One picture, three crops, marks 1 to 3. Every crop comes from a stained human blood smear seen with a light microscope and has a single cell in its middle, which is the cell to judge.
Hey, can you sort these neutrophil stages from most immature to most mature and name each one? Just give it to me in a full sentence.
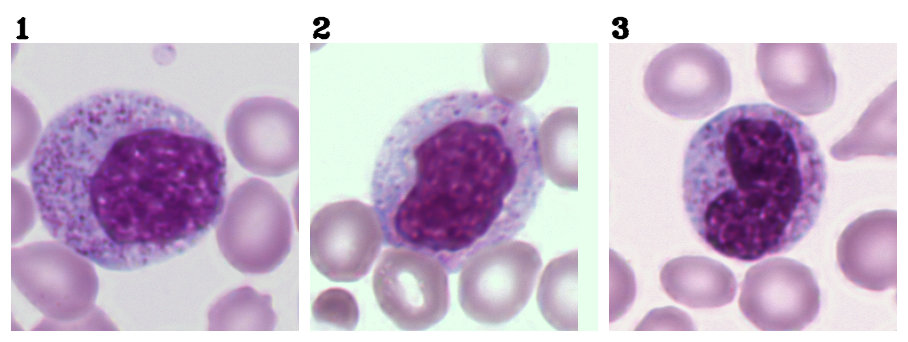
Arranged by increasing maturity, the sequence is crop 1 (a myelocyte), crop 2 (a metamyelocyte) and crop 3 (a band neutrophil).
